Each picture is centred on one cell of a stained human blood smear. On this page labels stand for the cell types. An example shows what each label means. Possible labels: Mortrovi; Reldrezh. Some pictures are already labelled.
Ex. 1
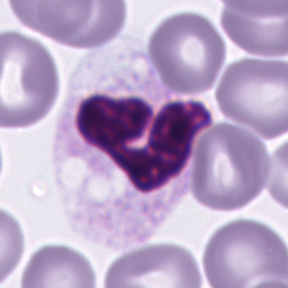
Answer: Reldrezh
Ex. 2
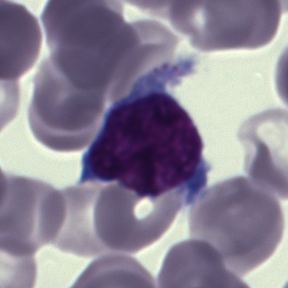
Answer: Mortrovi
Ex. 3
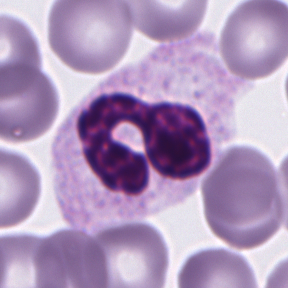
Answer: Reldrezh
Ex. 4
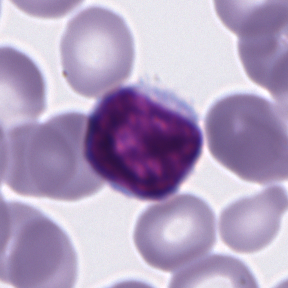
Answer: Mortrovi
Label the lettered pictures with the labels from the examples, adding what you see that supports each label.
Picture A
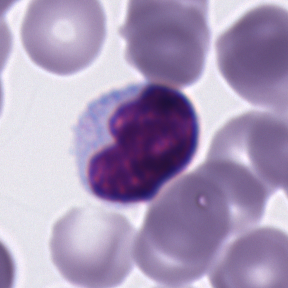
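Mortrovi. The nucleus is kidney-shaped, with a single notch on its left side.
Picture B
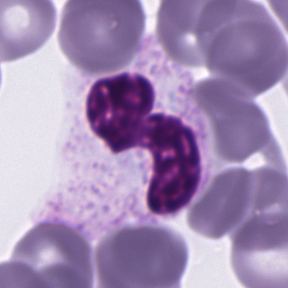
Reldrezh. The nucleus has two lobes joined by a broad band of nuclear material.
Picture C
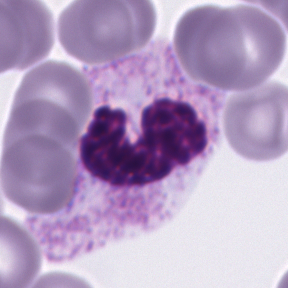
Reldrezh. The cytoplasm is abundant and pale pinkish-lilac.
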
